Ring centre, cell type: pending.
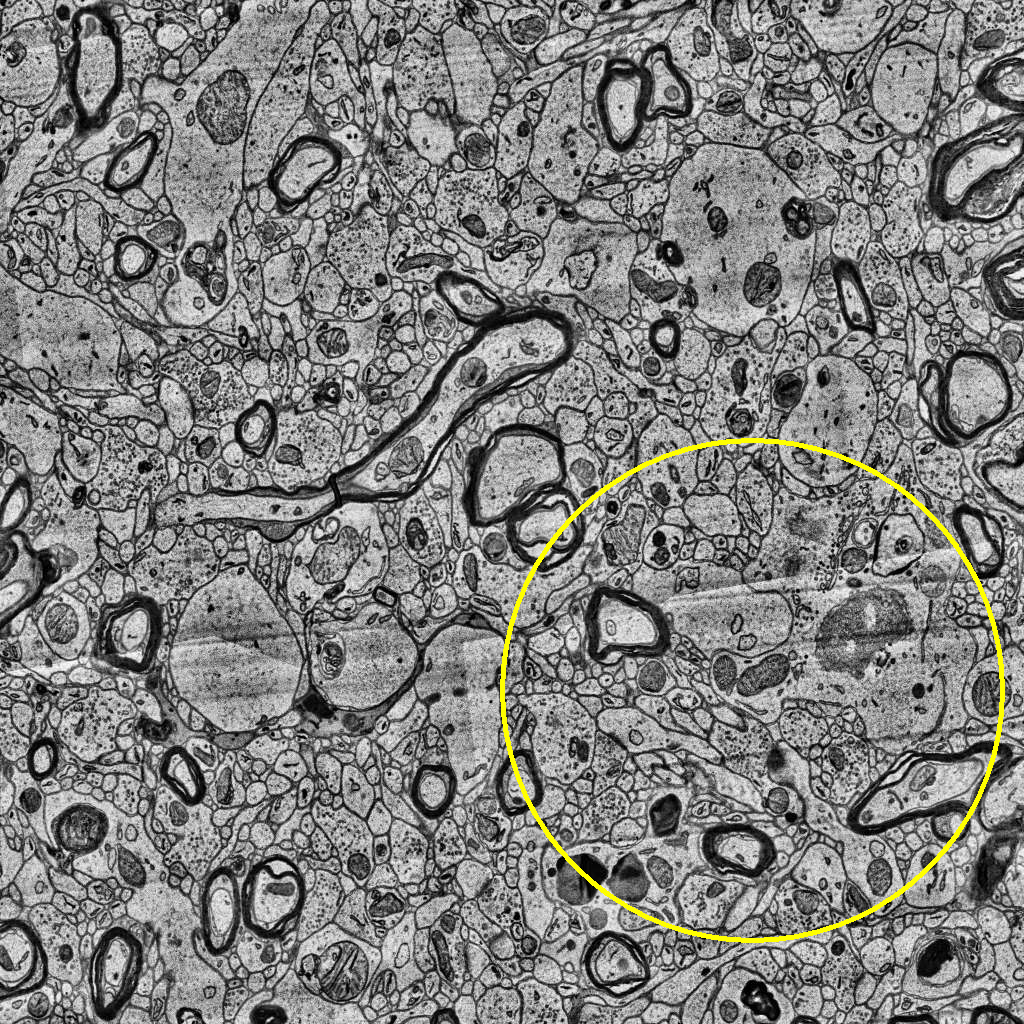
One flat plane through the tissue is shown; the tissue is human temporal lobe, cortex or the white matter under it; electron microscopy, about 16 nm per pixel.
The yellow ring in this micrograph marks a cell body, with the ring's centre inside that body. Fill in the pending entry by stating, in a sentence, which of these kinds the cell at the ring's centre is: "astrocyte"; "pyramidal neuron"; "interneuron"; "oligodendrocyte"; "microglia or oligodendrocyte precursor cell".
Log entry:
The cell at the ring's centre is recorded as a microglial cell or oligodendrocyte precursor cell.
